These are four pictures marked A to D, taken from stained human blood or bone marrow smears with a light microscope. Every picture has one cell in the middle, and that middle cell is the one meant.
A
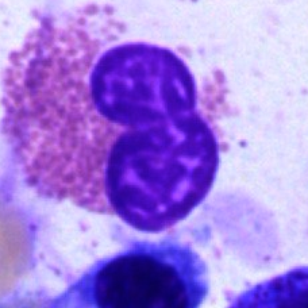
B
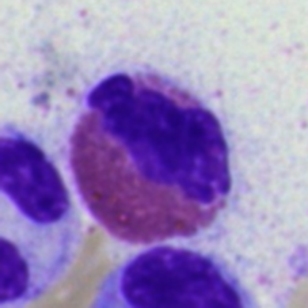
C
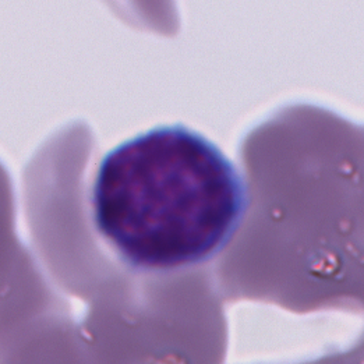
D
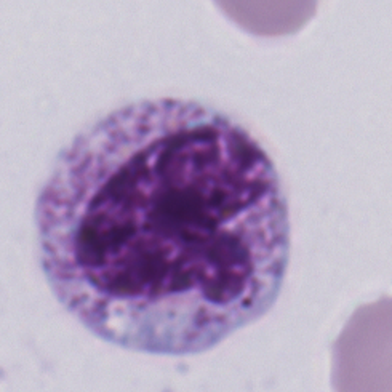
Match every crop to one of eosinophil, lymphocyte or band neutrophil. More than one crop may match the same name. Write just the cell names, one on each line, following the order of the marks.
eosinophil
eosinophil
lymphocyte
band neutrophil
